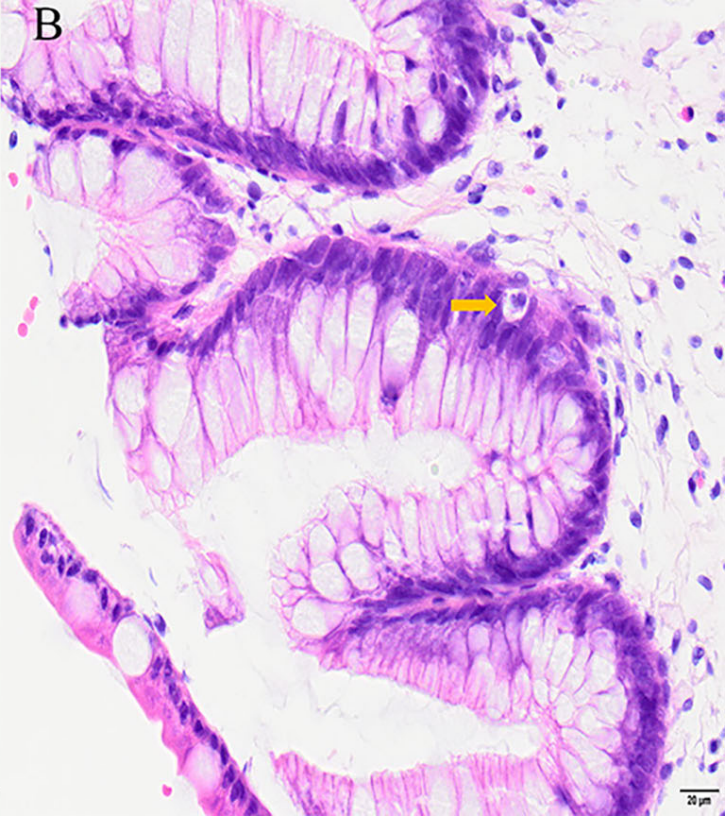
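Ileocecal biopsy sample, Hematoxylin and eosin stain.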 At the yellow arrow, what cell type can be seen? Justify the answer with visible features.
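The arrowed cell sits within the epithelial lining of a crypt. It shows a small cleared halo around condensed dark fragments. Neighbouring epithelial cells have intact elongated basal nuclei. So: apoptotic epithelial cells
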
